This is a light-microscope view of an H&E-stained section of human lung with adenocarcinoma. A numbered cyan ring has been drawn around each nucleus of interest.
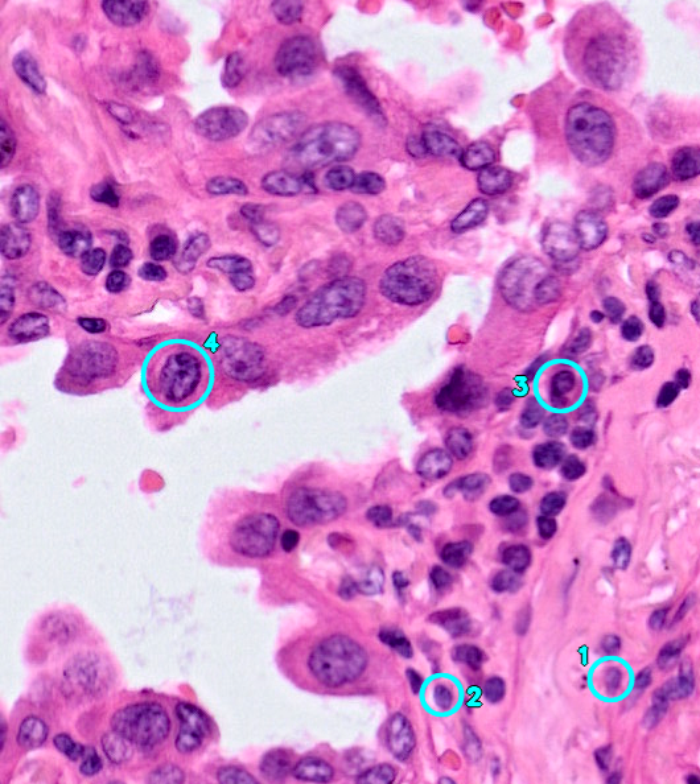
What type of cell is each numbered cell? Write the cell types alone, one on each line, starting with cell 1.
smooth muscle cell or pericyte
lymphocyte
plasma cell
carcinoma cell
